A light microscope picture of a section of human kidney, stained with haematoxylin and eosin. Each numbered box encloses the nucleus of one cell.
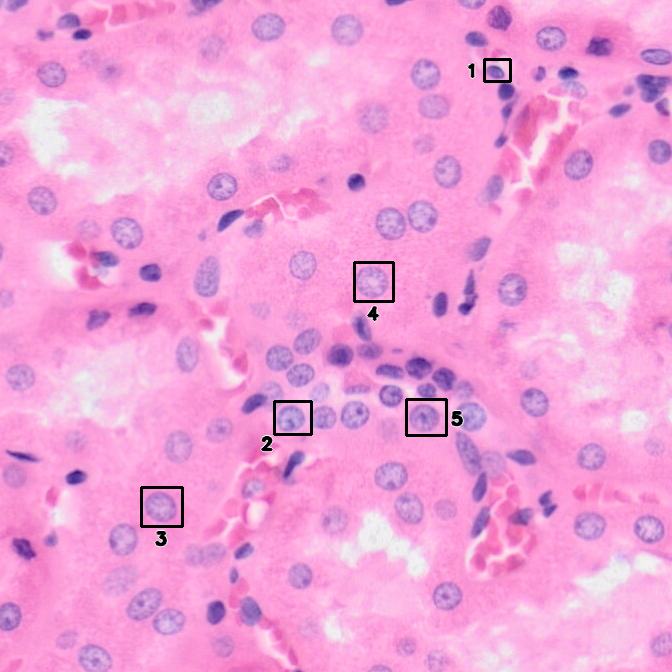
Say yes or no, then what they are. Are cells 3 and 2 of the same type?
No, cell 3 is a proximal tubule cell and cell 2 is a collecting duct cell.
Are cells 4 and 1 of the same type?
No, cell 4 is a proximal tubule cell and cell 1 is an endothelial cell.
